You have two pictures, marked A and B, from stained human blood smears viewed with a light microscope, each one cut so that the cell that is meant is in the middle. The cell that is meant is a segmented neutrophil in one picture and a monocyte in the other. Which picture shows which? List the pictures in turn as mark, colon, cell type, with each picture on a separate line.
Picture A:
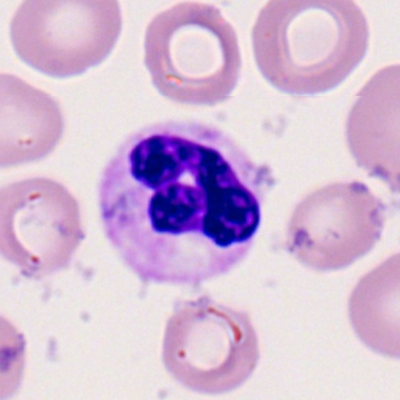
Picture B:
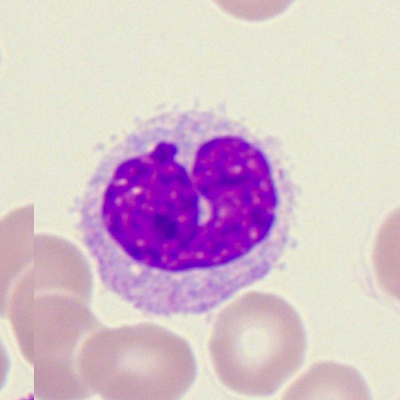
A: segmented neutrophil
B: monocyte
